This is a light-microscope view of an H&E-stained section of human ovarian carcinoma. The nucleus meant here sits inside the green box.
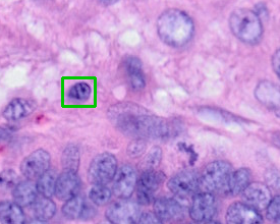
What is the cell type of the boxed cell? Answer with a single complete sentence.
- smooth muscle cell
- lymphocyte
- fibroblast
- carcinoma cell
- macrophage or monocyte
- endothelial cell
The expected answer is simply that the boxed cell is a lymphocyte.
